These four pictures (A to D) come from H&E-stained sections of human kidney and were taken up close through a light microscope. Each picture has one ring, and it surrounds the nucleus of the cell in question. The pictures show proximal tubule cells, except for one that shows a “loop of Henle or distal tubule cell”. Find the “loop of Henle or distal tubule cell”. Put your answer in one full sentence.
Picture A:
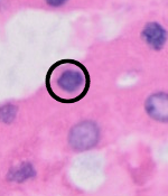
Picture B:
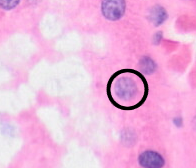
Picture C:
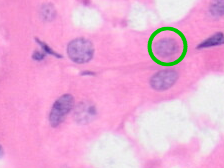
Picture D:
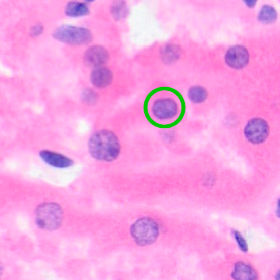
The cell in picture A is the “loop of Henle or distal tubule cell”.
